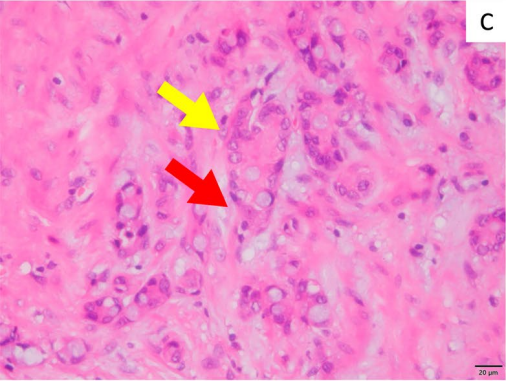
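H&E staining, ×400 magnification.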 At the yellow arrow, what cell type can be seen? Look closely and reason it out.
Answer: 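Tumor cell clusters. Small nests of cells with clear vacuolated cytoplasm. Nests lie within pink stroma.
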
